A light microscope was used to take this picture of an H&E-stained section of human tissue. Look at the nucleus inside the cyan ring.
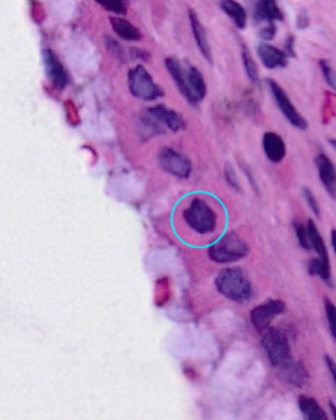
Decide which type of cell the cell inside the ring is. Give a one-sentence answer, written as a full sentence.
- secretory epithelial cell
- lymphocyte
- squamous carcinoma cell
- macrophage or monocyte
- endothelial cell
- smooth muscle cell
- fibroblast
Labelled by cell type, the cell inside the ring is a secretory epithelial cell.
